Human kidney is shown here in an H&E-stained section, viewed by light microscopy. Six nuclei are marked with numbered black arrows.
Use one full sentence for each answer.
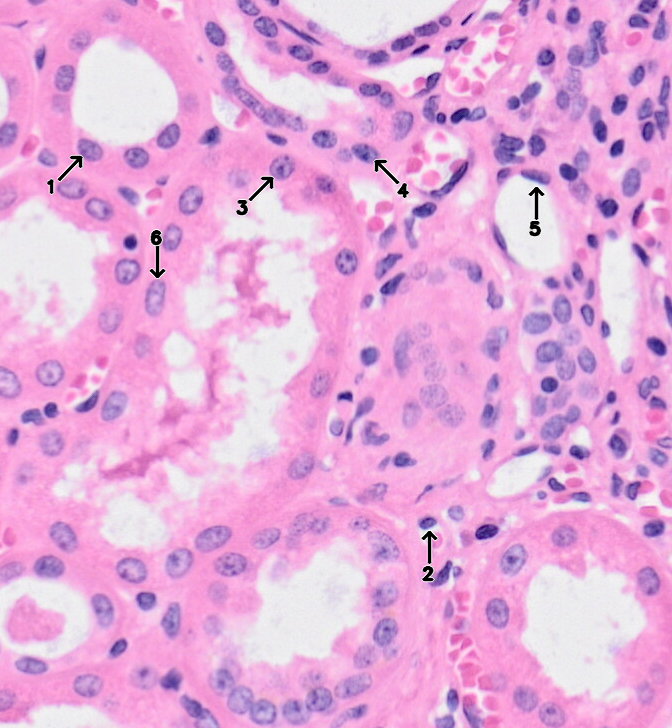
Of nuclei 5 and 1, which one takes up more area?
Nucleus 1 covers more area, about 1.5 times as much as nucleus 5.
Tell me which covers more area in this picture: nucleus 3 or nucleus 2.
Nucleus 3 is larger, with an area about 2 times that of nucleus 2.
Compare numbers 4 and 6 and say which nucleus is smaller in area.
Nucleus 4 covers less area, with nucleus 6 about 1.5 times as large.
